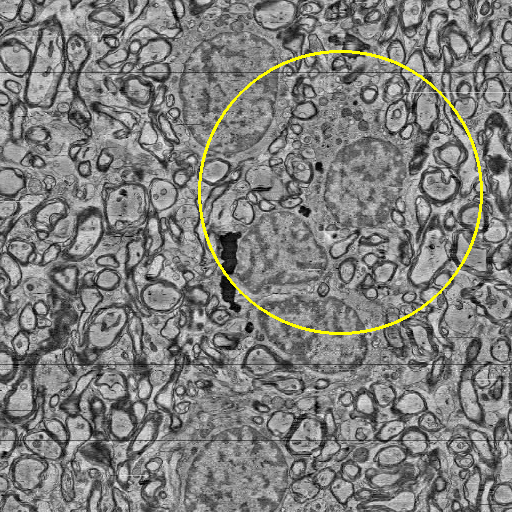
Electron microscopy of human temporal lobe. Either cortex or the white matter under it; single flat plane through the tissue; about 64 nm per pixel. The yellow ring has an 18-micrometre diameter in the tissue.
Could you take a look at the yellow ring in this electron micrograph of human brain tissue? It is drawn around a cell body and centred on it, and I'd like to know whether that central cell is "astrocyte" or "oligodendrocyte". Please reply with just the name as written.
oligodendrocyte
